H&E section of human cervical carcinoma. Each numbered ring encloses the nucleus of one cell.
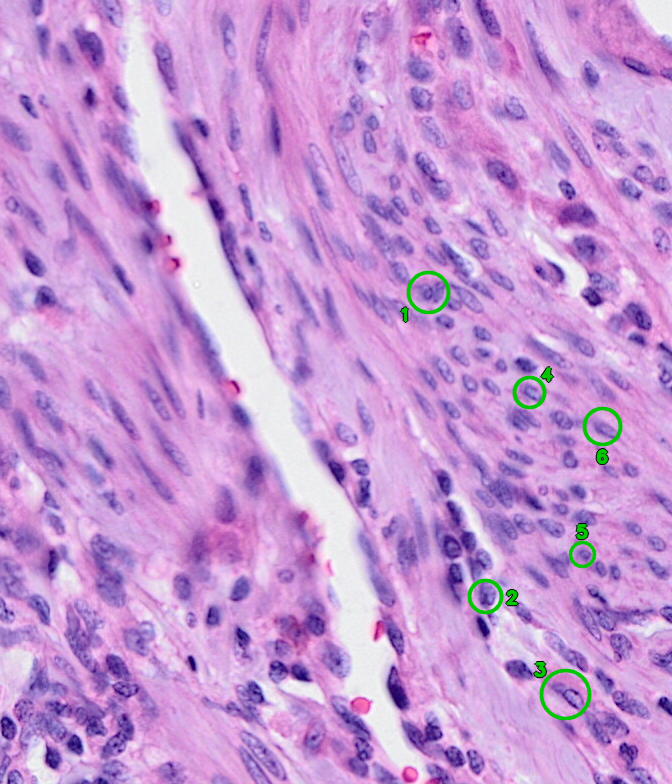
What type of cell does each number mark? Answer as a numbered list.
1. smooth muscle cell
2. lymphocyte
3. endothelial cell
4. smooth muscle cell
5. smooth muscle cell
6. smooth muscle cell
